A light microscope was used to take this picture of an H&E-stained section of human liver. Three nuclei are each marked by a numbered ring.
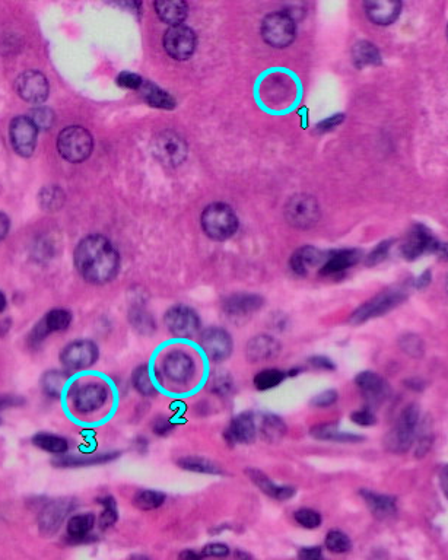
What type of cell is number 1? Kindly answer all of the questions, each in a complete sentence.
The cell numbered 1 has been identified as a hepatocyte.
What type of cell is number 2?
Cell 2 should be recorded as a cholangiocyte.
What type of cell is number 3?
The cell bearing label 3 corresponds to a cholangiocyte.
